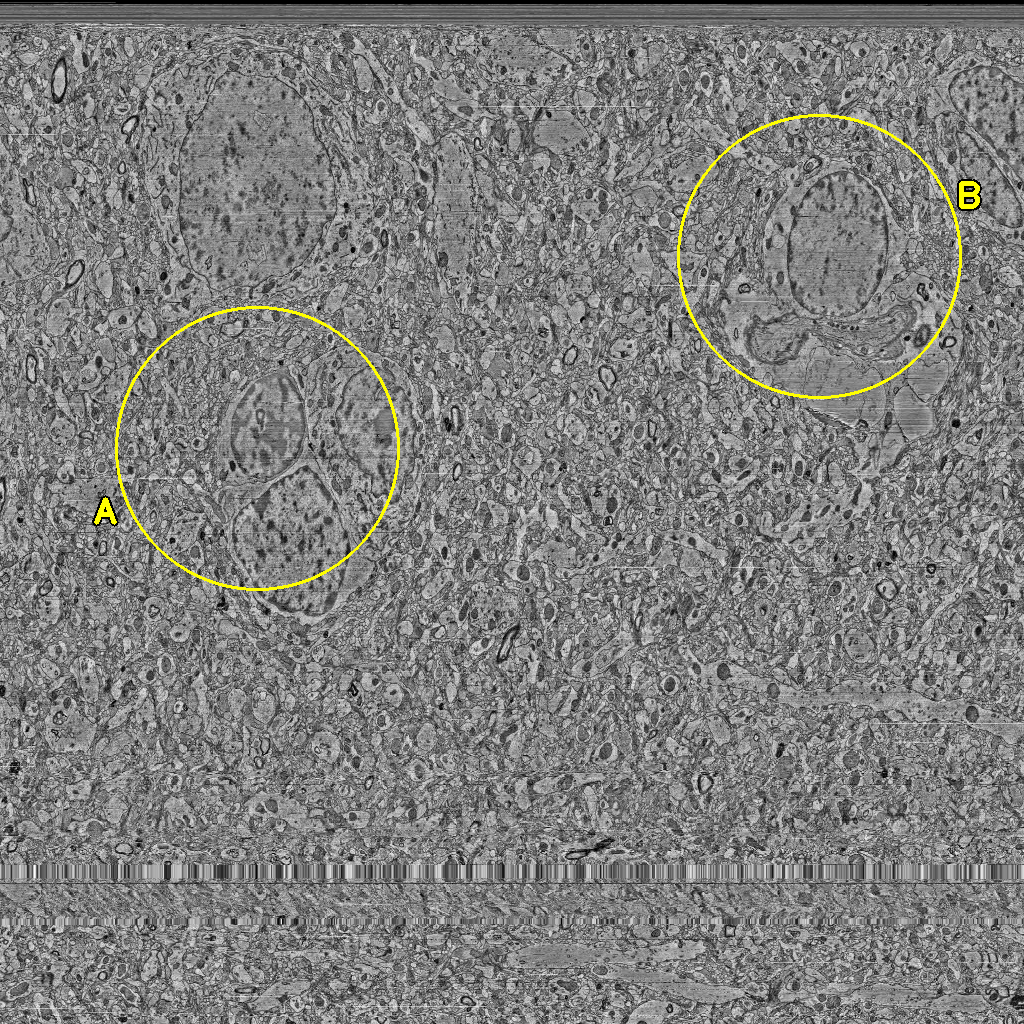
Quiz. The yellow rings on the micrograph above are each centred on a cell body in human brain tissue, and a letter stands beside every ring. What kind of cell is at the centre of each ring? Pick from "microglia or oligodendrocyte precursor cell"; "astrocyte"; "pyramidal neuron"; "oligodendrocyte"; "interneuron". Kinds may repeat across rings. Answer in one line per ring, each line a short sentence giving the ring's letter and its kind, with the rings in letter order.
The ring labelled A has an oligodendrocyte at its centre.
The ring labelled B has an astrocyte at its centre.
